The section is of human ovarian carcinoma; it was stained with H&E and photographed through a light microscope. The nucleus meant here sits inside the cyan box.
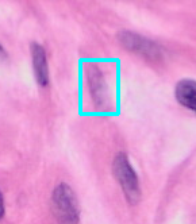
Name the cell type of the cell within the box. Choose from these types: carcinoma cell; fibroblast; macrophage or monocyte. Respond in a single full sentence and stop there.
As for its identity, the cell within the box is a fibroblast.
